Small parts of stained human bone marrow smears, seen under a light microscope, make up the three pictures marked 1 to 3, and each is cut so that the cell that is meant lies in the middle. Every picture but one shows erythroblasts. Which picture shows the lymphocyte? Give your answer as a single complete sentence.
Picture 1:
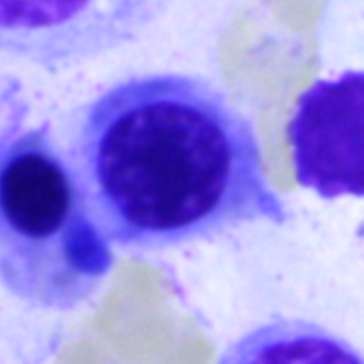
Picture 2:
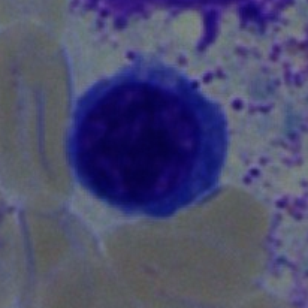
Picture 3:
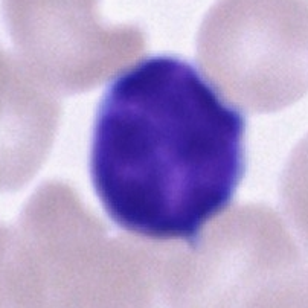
Picture 3 shows the lymphocyte.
